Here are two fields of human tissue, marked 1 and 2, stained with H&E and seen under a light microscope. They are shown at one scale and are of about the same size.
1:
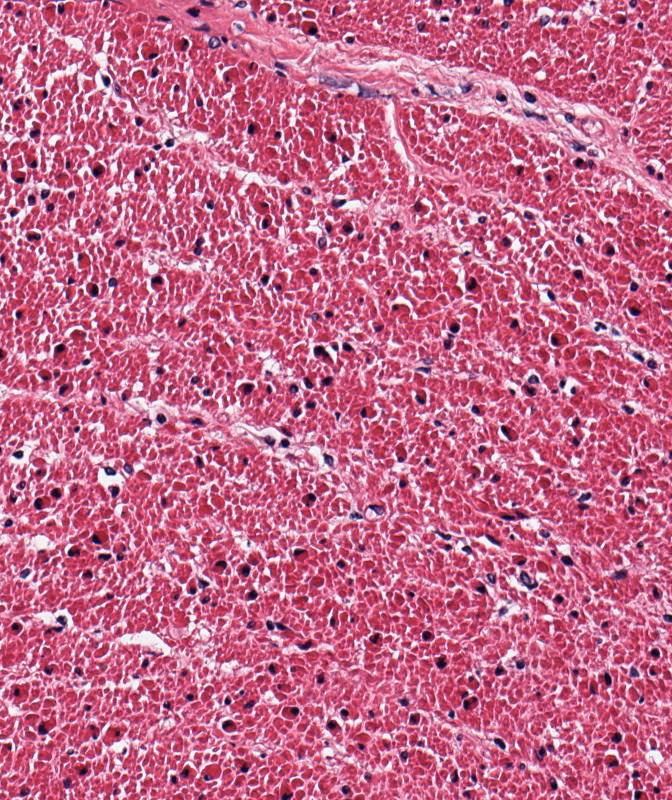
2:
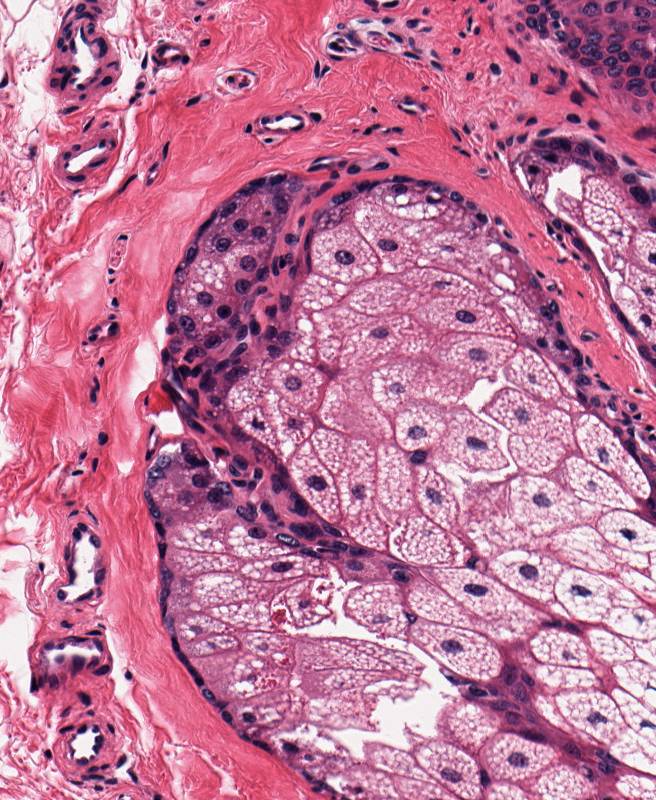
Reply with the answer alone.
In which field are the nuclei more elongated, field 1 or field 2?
2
